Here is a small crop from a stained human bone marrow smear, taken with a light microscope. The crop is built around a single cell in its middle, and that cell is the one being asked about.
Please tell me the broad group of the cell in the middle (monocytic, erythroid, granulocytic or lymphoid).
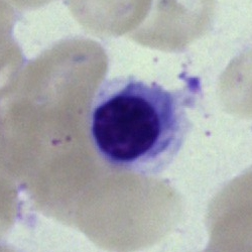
erythroid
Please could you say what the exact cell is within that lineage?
erythroblast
